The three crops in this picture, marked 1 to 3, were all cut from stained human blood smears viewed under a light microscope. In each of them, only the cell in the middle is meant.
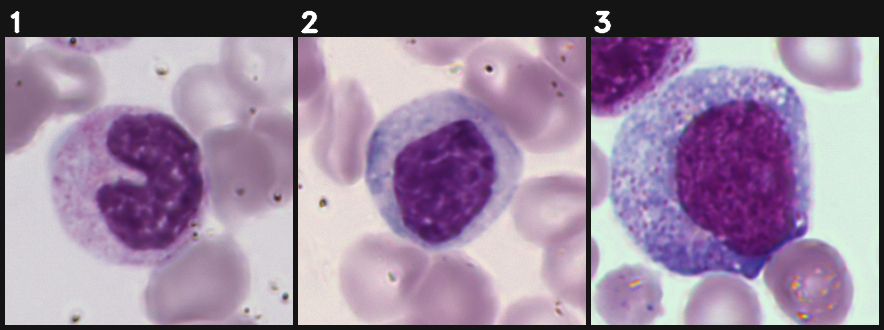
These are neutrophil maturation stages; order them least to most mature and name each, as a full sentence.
The cells in order of increasing maturity are crop 3 (a promyelocyte), crop 2 (a metamyelocyte) and crop 1 (a band neutrophil).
